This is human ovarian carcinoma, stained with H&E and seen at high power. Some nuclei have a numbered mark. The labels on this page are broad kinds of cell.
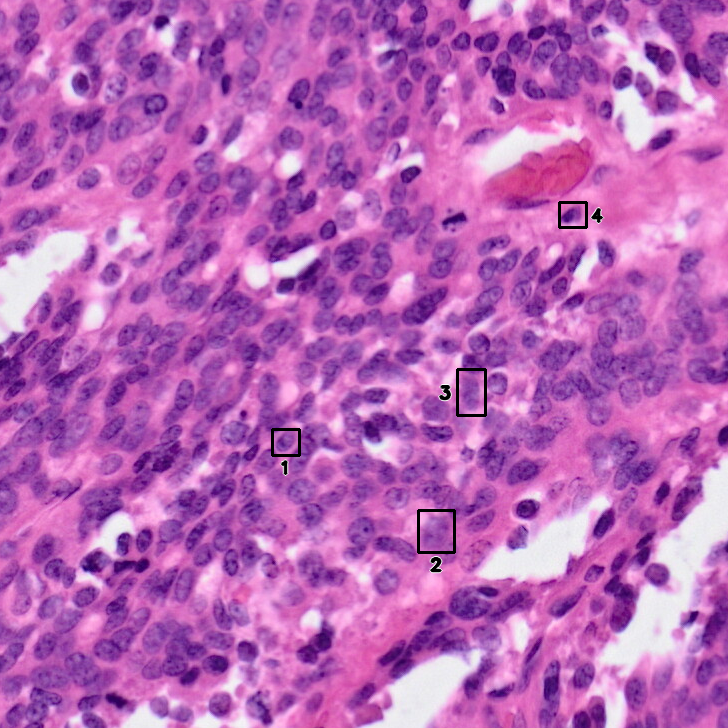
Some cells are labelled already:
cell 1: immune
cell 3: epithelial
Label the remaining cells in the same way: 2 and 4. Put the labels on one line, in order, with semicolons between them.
epithelial; immune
